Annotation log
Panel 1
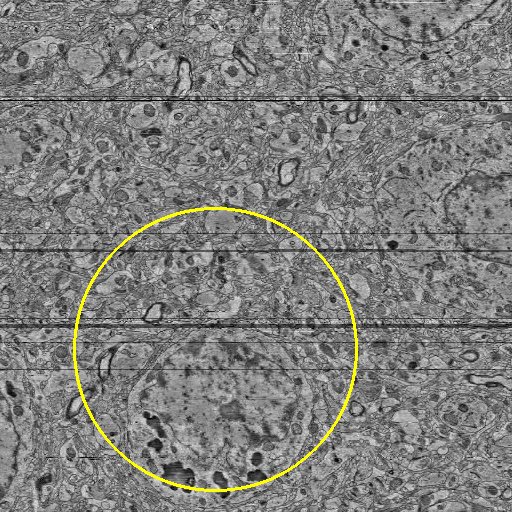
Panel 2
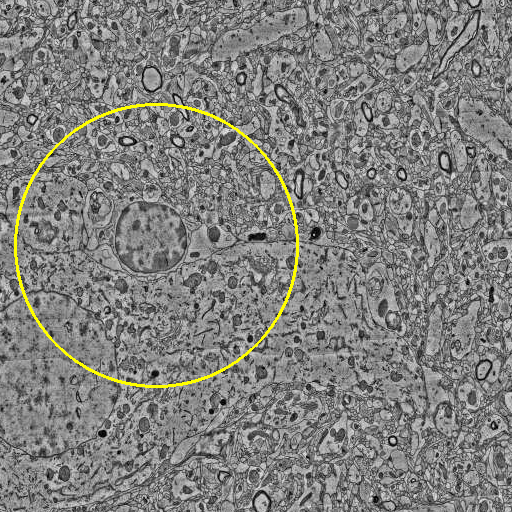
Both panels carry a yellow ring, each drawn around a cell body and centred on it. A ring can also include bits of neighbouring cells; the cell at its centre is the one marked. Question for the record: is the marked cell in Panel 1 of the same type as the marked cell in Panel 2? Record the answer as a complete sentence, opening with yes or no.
No, the marked cells in Panel 1 and Panel 2 are of two types.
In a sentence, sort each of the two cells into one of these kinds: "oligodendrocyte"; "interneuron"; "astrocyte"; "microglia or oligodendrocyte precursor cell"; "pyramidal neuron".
The first of the two cells is an interneuron, and the second is a microglial cell or oligodendrocyte precursor cell.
